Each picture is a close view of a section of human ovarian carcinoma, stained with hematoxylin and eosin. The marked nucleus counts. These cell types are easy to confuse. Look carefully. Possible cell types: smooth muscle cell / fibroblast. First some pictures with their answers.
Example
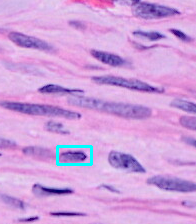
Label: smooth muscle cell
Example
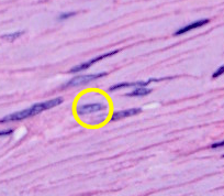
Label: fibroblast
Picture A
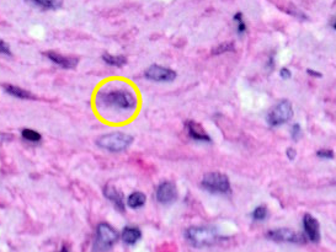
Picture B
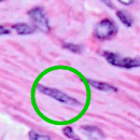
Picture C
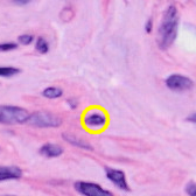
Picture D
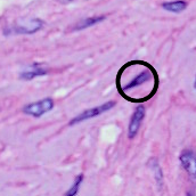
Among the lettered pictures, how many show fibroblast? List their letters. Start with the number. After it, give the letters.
Count: 3 (A, B, D)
